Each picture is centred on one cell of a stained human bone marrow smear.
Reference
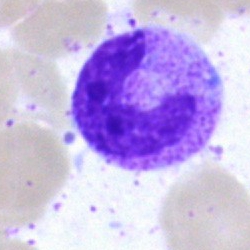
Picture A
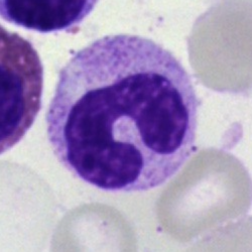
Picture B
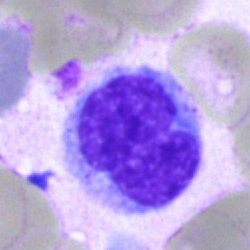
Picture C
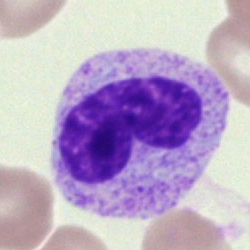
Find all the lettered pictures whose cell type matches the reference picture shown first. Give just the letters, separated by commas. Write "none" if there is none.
B, C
